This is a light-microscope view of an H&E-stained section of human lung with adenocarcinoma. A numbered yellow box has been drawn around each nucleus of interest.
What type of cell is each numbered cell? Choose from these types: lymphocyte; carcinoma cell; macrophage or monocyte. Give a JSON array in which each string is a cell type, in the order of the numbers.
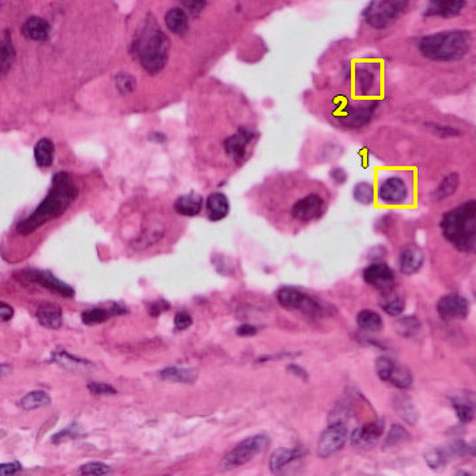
["lymphocyte", "carcinoma cell"]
